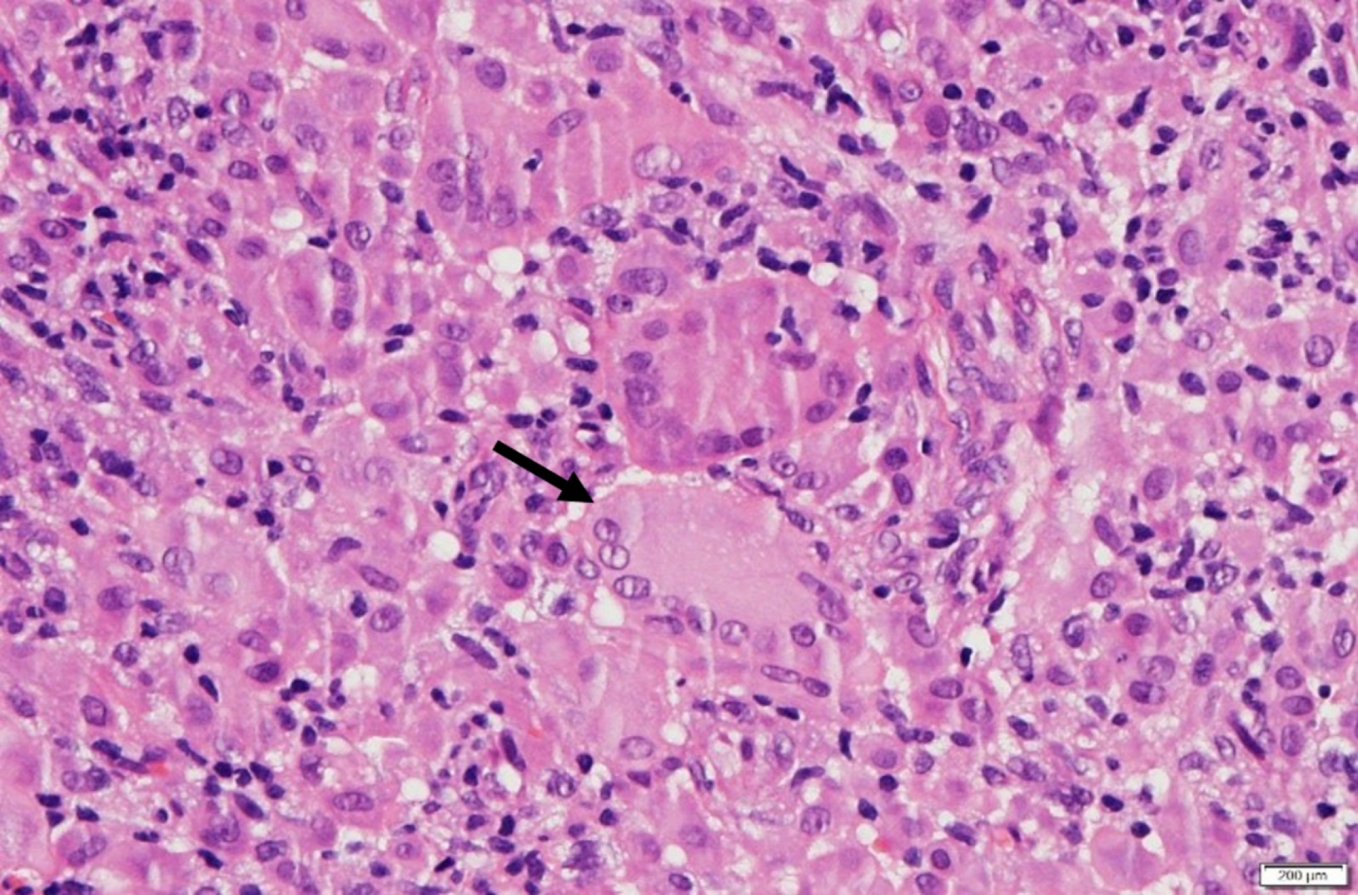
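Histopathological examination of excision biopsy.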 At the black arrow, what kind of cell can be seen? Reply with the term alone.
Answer: Touton giant cell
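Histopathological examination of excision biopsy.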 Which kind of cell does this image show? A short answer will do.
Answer: inflammatory cells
